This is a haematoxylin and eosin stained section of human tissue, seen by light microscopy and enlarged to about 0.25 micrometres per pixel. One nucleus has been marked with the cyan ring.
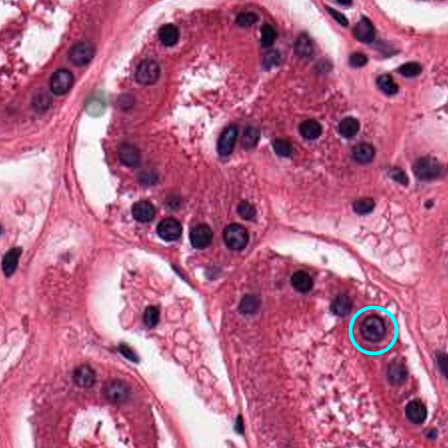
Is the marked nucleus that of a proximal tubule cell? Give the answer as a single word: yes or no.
yes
